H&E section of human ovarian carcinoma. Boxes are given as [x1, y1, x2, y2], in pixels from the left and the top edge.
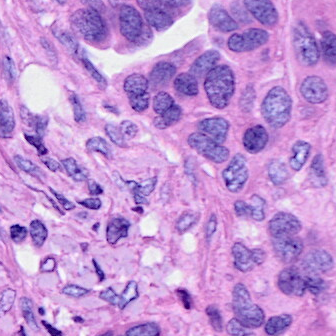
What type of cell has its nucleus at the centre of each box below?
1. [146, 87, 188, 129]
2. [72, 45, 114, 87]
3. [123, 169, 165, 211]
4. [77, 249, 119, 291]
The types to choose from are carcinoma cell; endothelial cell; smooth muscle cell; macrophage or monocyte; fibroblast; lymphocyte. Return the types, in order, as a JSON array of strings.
["carcinoma cell", "fibroblast", "fibroblast", "fibroblast"]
